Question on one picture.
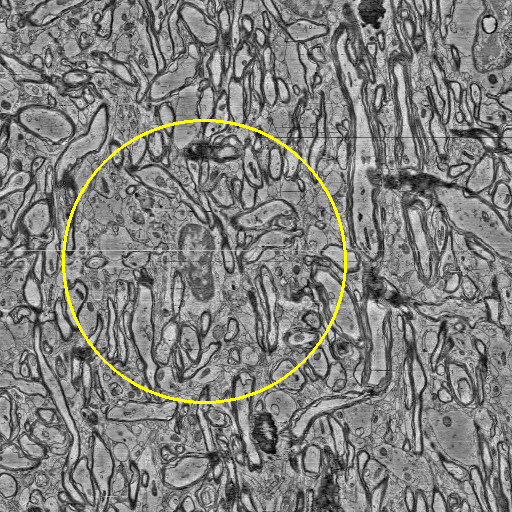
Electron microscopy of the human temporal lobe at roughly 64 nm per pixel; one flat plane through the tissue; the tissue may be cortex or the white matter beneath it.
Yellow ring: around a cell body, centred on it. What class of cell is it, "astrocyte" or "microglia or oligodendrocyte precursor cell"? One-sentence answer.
This is a microglial cell or oligodendrocyte precursor cell, the cell the ring is centred on.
